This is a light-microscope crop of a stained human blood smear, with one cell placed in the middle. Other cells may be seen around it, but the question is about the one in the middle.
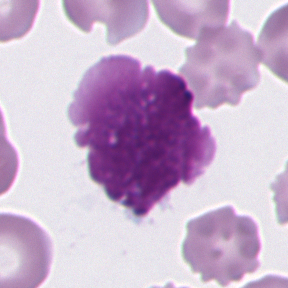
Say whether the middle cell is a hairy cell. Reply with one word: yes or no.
no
